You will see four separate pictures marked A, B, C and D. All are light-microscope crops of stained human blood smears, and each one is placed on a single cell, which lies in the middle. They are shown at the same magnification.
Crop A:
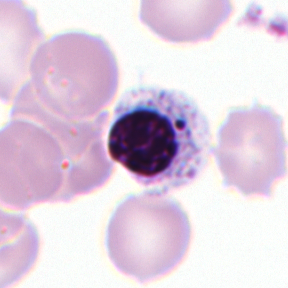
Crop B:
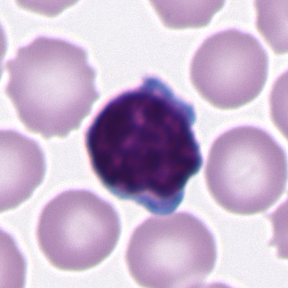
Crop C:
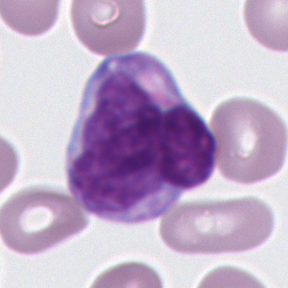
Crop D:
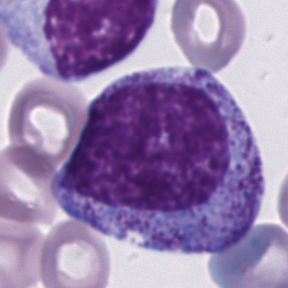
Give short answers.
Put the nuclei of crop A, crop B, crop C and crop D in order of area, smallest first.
A, B, C, D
